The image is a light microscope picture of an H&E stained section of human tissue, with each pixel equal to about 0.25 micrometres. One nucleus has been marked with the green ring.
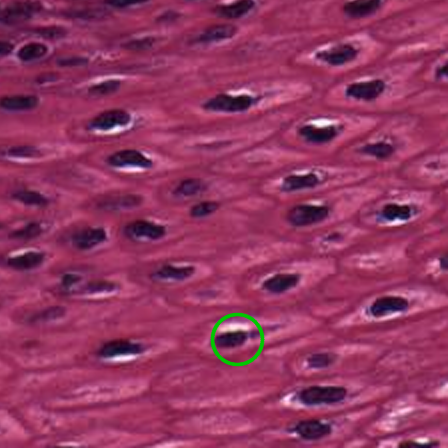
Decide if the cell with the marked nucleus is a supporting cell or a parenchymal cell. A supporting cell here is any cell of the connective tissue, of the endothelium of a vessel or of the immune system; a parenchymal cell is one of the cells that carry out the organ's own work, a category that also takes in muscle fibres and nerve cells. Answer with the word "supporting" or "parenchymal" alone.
parenchymal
